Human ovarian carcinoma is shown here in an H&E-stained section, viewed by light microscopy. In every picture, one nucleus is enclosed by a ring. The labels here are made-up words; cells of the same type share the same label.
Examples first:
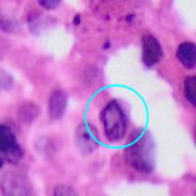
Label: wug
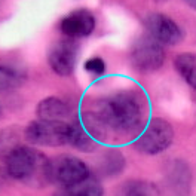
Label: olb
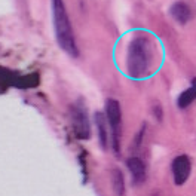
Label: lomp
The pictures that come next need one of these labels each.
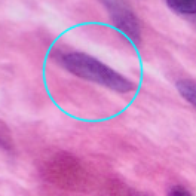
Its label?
lomp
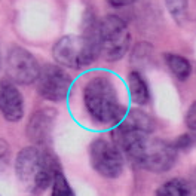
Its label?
olb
